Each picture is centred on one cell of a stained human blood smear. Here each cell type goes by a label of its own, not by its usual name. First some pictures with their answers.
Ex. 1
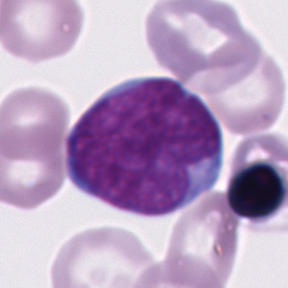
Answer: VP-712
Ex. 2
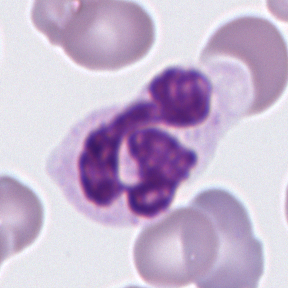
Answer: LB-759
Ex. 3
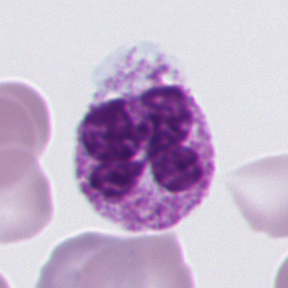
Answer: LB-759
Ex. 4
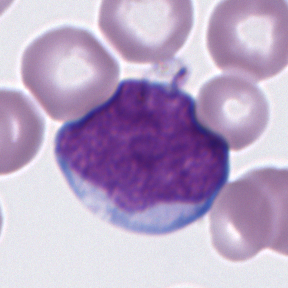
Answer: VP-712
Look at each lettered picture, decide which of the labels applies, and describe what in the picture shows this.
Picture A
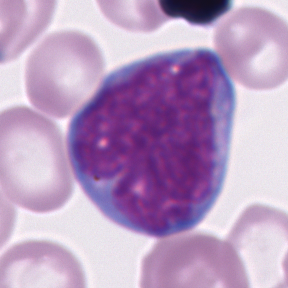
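Answer: VP-712. The nucleus is a single unlobed mass.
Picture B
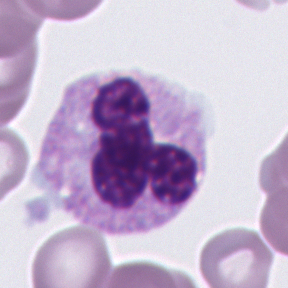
Answer: LB-759. The cytoplasm is abundant and surrounds the nucleus on all sides.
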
